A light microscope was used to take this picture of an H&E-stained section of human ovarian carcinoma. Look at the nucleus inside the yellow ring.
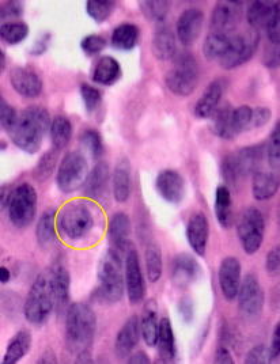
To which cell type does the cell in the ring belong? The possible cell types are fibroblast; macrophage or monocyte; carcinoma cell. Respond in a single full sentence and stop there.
As to its cell type, the cell in the ring is a macrophage or monocyte.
